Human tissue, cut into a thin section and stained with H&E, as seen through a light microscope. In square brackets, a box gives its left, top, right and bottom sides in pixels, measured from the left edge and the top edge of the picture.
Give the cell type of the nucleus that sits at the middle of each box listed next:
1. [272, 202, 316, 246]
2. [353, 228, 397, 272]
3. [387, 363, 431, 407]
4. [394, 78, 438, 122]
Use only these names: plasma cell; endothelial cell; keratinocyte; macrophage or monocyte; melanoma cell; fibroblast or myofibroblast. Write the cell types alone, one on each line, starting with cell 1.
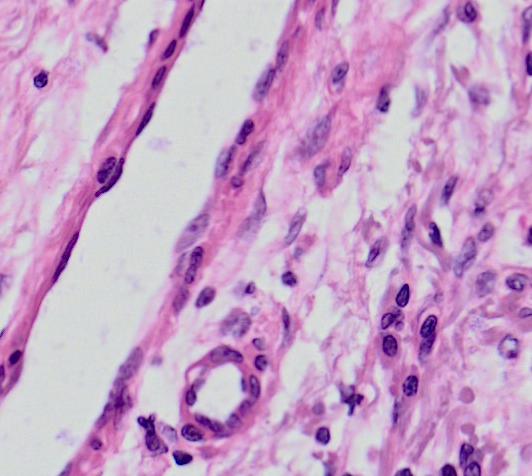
fibroblast or myofibroblast
fibroblast or myofibroblast
plasma cell
fibroblast or myofibroblast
